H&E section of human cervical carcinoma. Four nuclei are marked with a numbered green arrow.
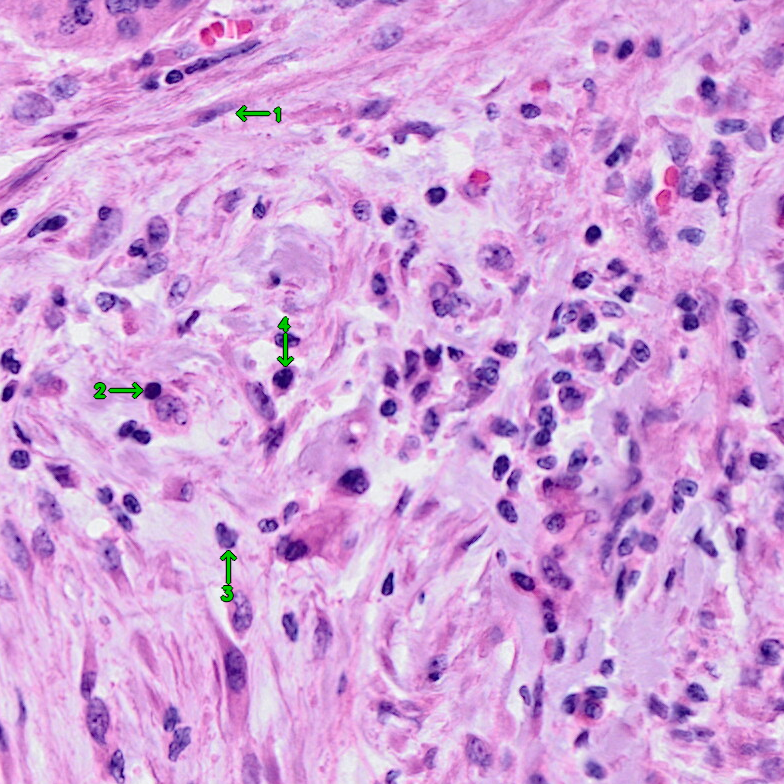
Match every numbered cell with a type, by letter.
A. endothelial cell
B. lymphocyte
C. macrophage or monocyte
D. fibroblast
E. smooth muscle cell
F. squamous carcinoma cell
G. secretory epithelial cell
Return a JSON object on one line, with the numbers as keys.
{"1": "D", "2": "B", "3": "B", "4": "B"}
